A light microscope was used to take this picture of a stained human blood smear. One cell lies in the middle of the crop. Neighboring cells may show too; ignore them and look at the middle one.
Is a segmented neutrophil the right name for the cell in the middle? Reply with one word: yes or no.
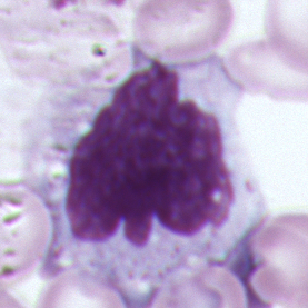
no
